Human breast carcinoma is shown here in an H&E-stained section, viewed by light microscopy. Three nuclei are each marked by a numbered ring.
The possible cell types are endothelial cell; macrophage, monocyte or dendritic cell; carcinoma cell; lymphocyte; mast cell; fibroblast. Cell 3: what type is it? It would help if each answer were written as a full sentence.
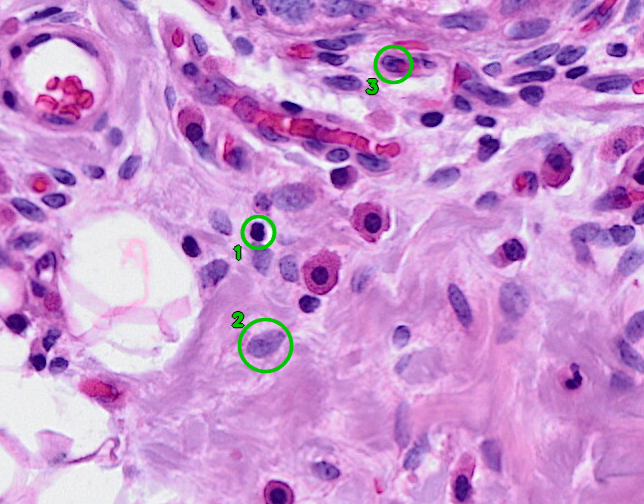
The cell carrying label 3 is identified as an endothelial cell.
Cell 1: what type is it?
The cell referenced by the number 1 is a lymphocyte in this field.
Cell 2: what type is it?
The cell that bears the number 2 is a fibroblast.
